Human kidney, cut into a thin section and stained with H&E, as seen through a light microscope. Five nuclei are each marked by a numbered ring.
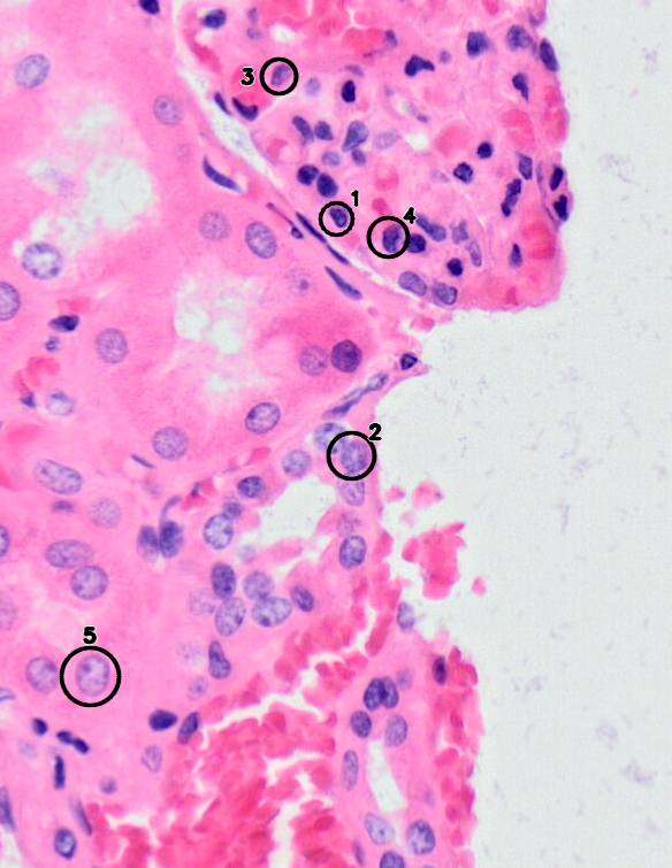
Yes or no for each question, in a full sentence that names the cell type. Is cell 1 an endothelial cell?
Yes, the nucleus numbered 1 belongs to an endothelial cell.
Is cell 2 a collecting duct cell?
Yes, what number 2 marks is a collecting duct cell.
